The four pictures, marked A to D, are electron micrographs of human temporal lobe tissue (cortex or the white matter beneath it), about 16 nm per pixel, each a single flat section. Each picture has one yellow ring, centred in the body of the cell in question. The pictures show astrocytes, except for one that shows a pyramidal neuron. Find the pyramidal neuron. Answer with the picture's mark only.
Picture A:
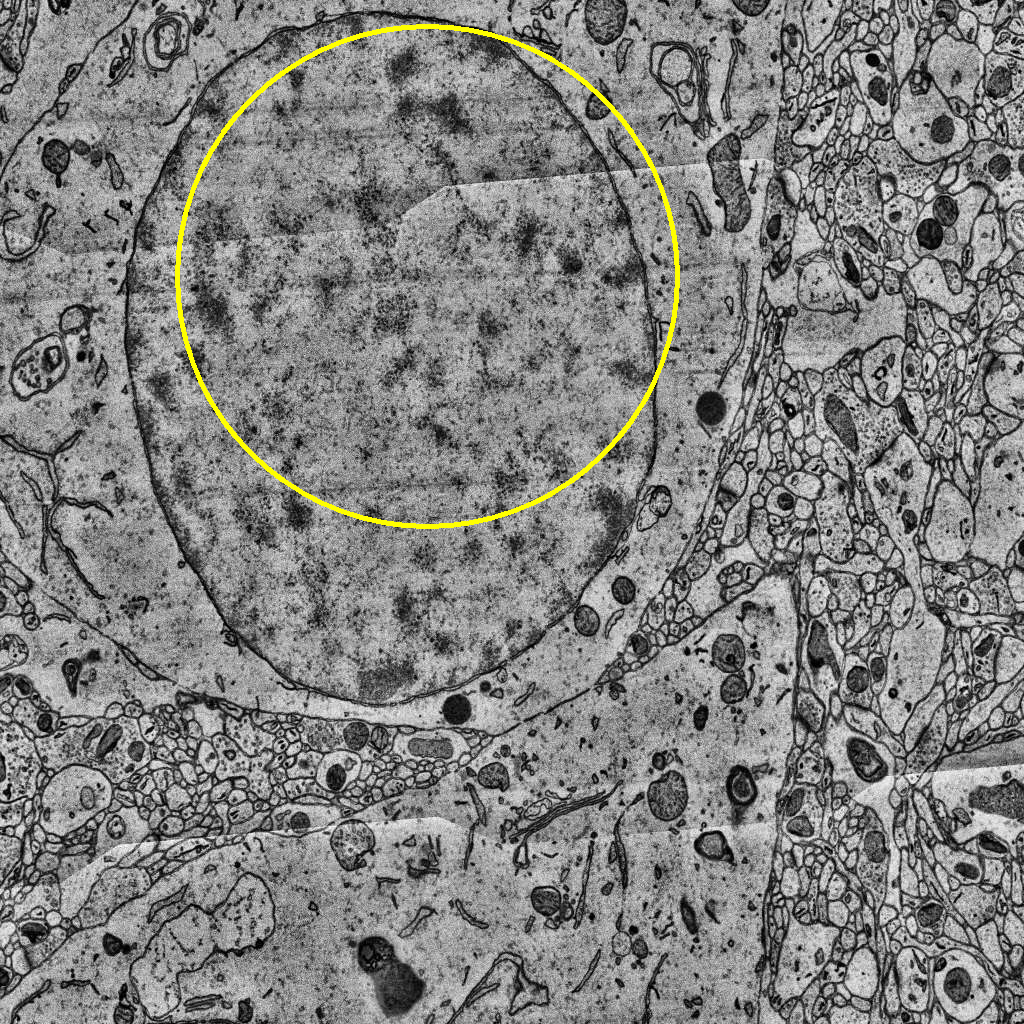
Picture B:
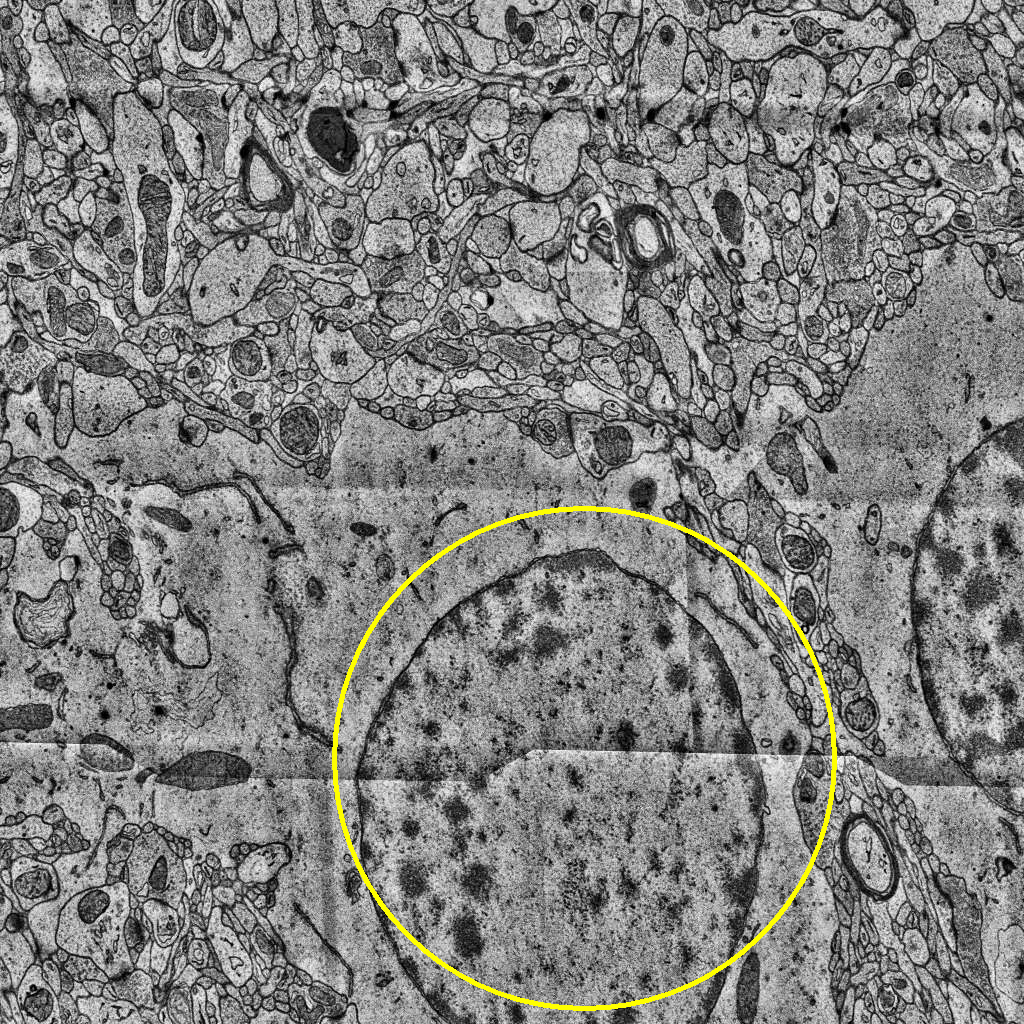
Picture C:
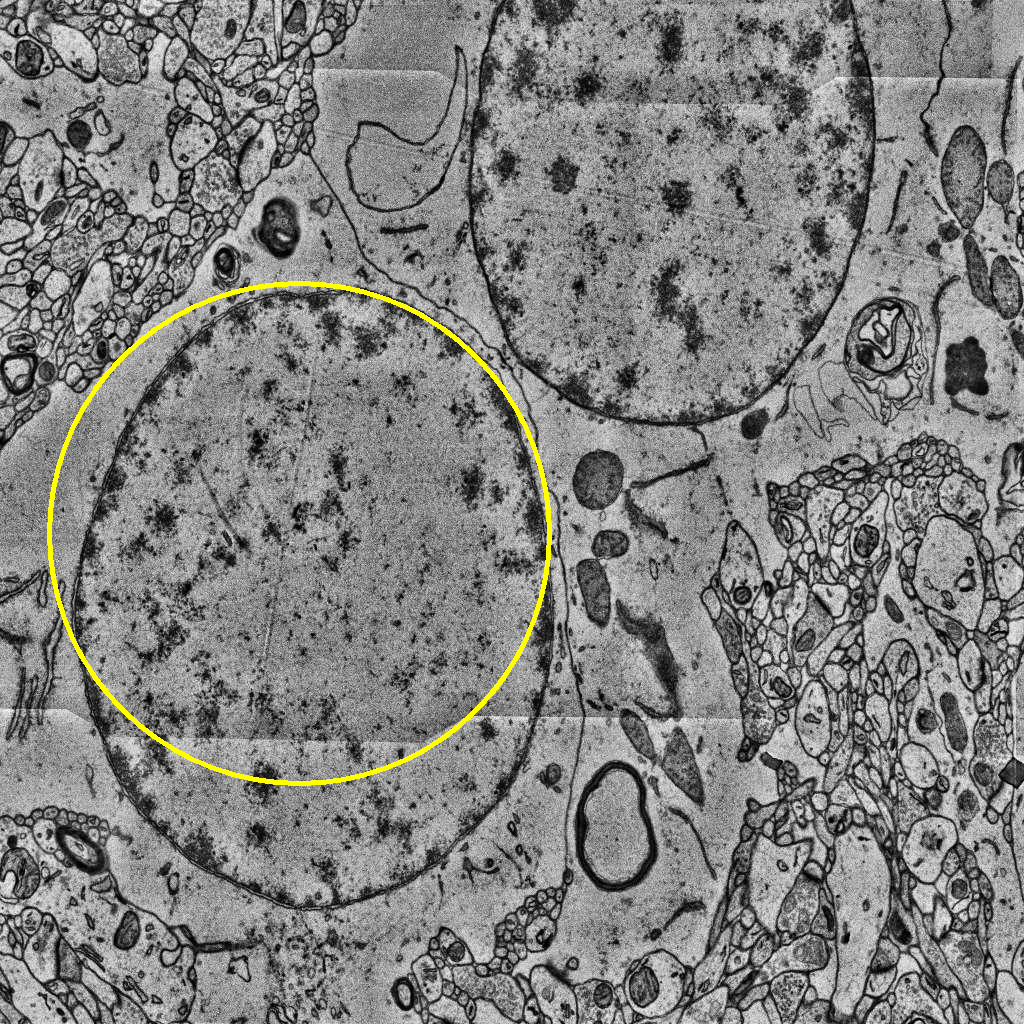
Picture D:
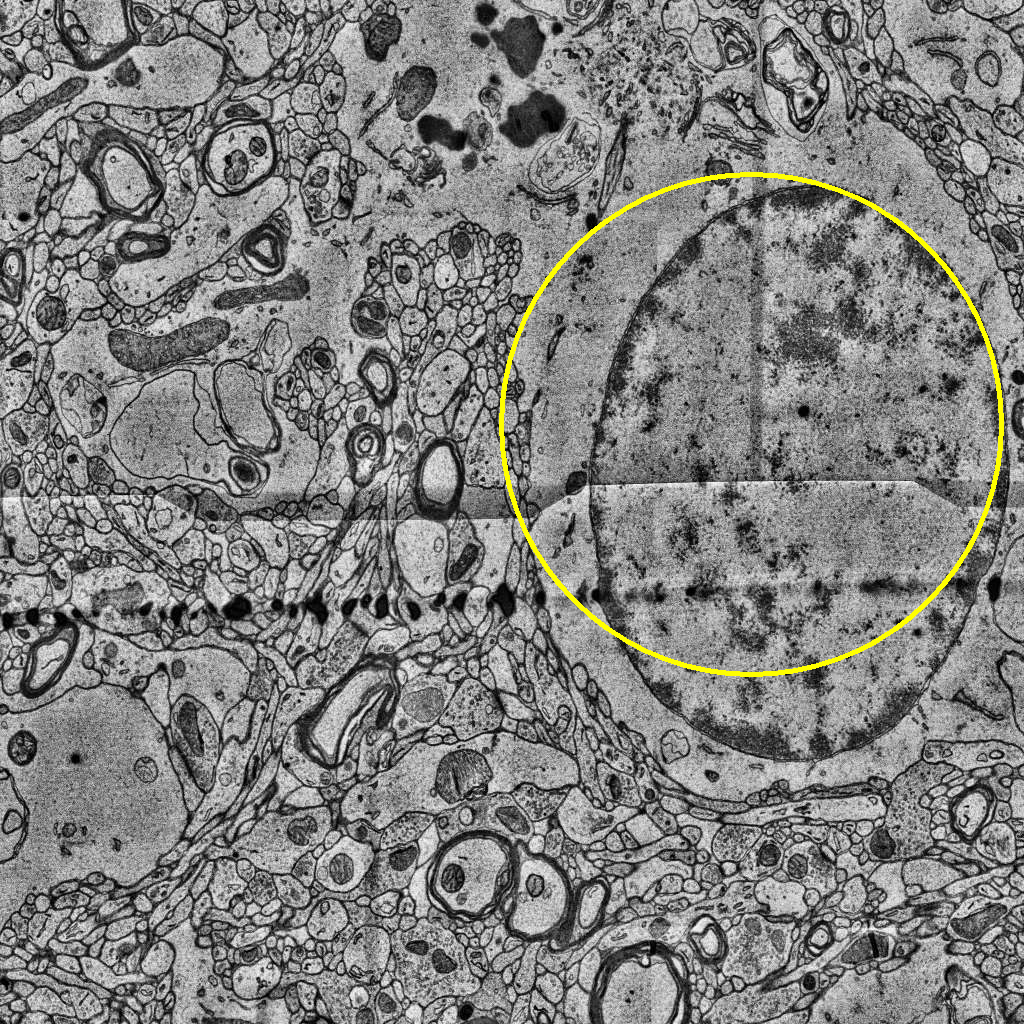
A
